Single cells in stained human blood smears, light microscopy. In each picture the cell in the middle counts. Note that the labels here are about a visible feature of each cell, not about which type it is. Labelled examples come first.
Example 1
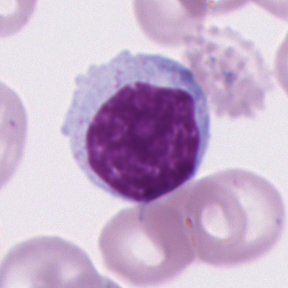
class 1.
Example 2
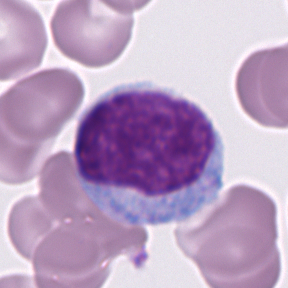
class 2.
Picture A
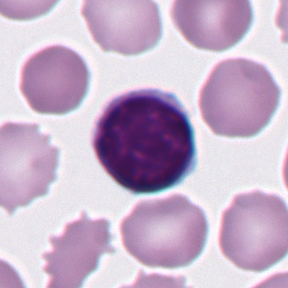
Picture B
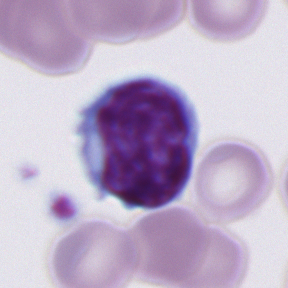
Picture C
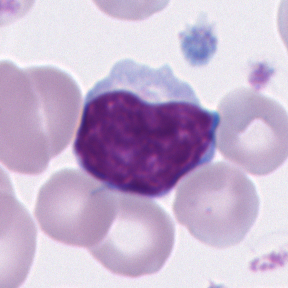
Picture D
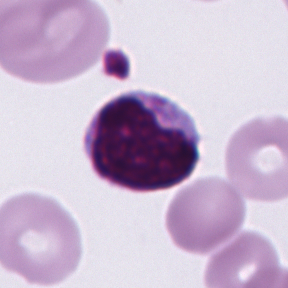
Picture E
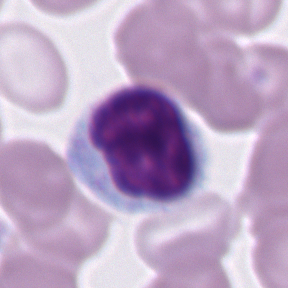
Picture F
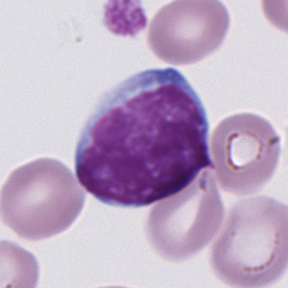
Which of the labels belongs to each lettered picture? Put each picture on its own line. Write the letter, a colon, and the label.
A: class 2.
B: class 1.
C: class 1.
D: class 2.
E: class 2.
F: class 2.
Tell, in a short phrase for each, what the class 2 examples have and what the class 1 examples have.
class 2: smooth outline; class 1: ragged outline or projections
